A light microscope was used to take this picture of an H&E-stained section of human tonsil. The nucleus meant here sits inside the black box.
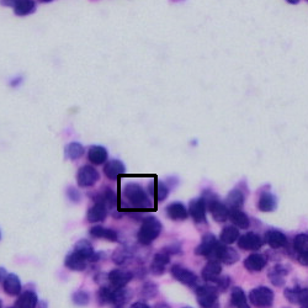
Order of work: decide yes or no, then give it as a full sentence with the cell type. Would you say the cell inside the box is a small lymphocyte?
Yes, the cell inside the box is properly regarded as a small lymphocyte.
